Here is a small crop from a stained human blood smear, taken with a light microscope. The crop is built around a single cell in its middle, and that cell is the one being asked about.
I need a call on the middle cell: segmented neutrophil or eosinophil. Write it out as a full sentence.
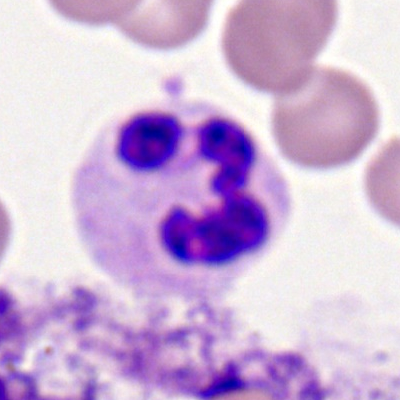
The centrally positioned cell in the crop represents a segmented neutrophil.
